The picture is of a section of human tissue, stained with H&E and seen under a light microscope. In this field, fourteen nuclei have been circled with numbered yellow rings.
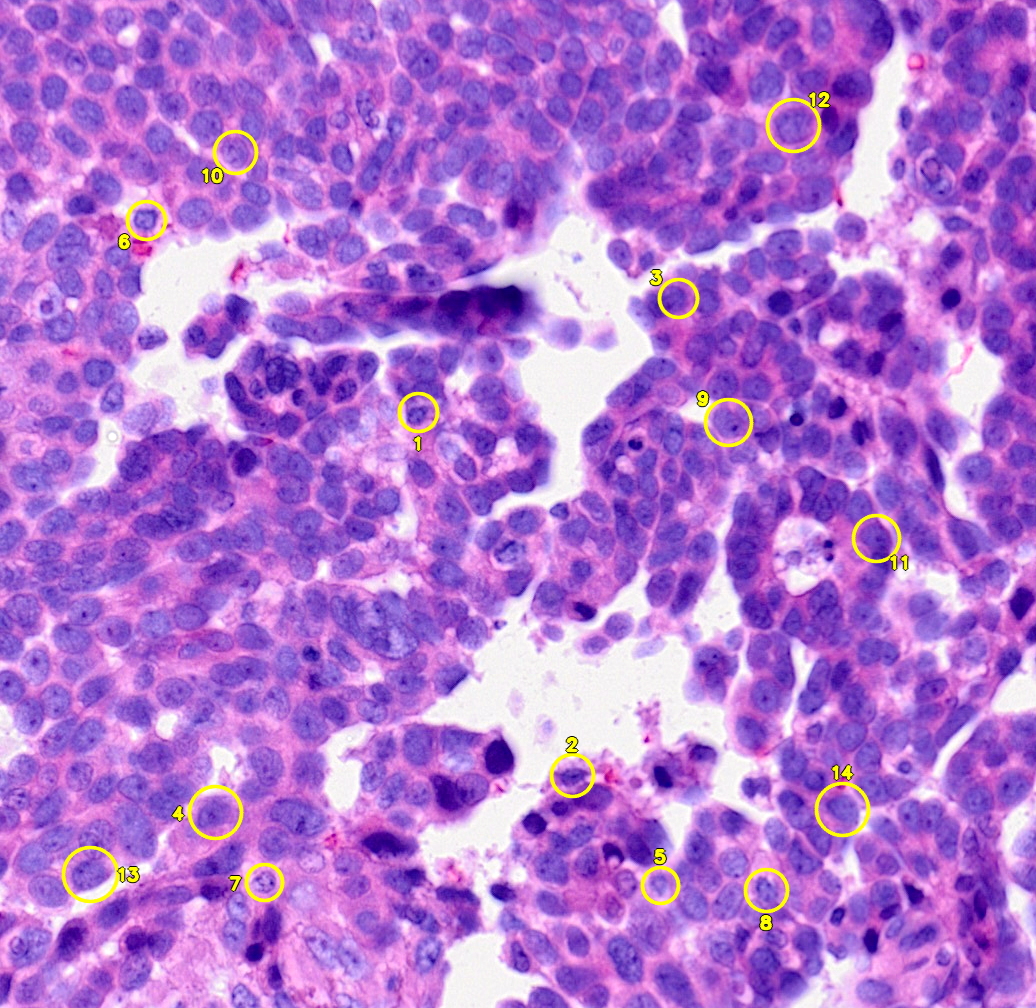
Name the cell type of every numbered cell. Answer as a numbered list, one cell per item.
1. macrophage or monocyte
2. macrophage or monocyte
3. carcinoma cell
4. carcinoma cell
5. macrophage or monocyte
6. macrophage or monocyte
7. macrophage or monocyte
8. macrophage or monocyte
9. carcinoma cell
10. carcinoma cell
11. carcinoma cell
12. carcinoma cell
13. carcinoma cell
14. carcinoma cell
